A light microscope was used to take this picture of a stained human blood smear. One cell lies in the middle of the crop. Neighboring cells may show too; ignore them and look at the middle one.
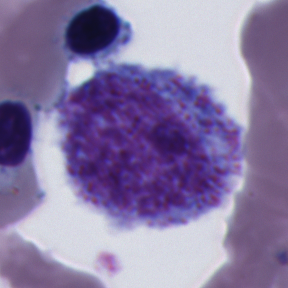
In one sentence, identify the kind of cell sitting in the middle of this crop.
The crop shows a promyelocyte in its centre.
